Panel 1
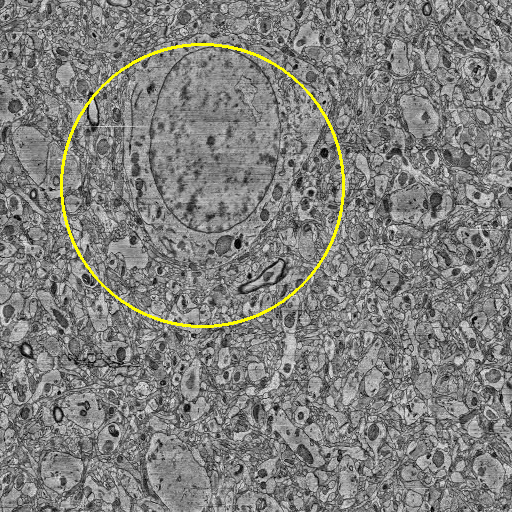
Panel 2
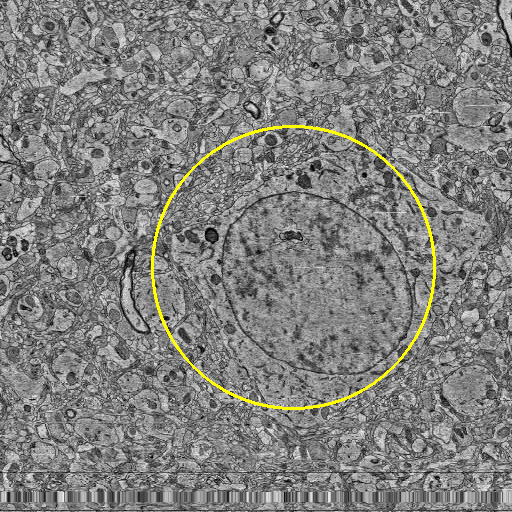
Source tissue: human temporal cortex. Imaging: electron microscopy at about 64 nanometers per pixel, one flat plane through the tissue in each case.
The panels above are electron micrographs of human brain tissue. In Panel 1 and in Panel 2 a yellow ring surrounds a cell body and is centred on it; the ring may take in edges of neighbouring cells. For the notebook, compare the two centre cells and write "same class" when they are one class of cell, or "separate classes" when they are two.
same class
